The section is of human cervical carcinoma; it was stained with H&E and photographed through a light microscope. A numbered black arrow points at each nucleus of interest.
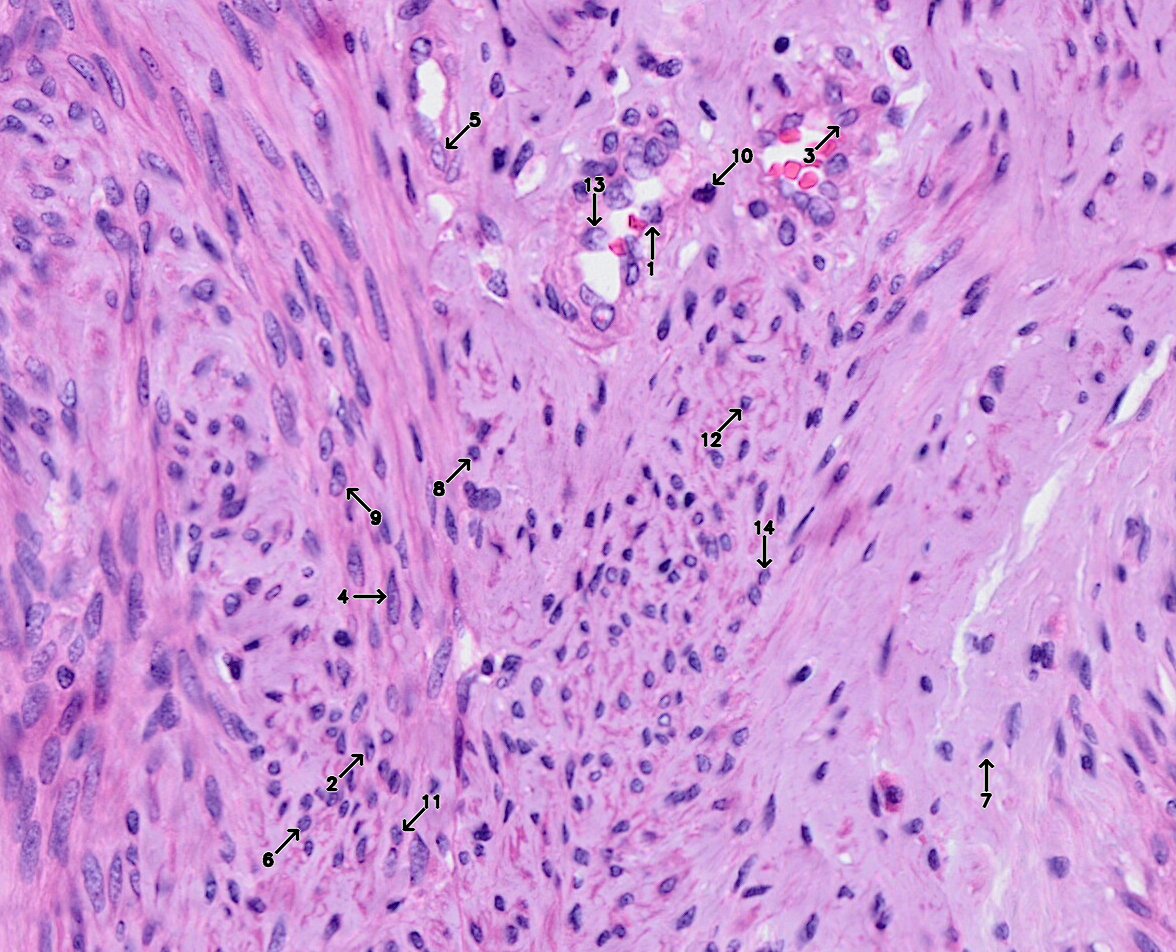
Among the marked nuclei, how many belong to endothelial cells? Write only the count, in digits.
4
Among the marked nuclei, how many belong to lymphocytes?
1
